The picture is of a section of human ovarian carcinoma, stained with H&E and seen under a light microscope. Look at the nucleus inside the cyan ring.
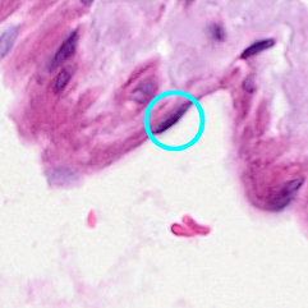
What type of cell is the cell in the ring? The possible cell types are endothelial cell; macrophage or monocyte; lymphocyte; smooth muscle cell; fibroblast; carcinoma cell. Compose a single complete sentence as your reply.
As for its identity, the cell in the ring is an endothelial cell.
